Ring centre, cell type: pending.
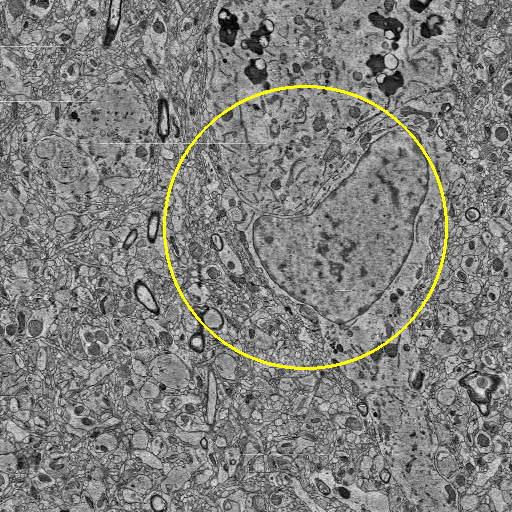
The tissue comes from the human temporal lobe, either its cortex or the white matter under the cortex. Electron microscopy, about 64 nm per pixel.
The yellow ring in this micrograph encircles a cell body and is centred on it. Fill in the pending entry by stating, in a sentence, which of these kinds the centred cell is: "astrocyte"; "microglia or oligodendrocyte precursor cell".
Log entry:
The centred cell is recorded as a microglial cell or oligodendrocyte precursor cell.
